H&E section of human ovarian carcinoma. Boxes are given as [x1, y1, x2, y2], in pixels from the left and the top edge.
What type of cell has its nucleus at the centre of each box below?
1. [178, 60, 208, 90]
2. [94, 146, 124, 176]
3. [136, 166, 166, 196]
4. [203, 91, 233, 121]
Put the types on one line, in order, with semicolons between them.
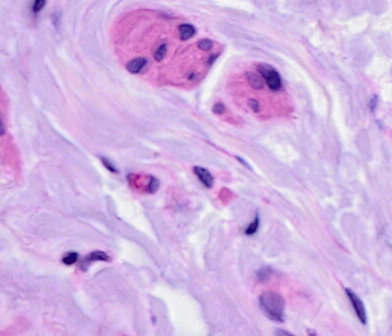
smooth muscle cell; fibroblast; endothelial cell; smooth muscle cell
